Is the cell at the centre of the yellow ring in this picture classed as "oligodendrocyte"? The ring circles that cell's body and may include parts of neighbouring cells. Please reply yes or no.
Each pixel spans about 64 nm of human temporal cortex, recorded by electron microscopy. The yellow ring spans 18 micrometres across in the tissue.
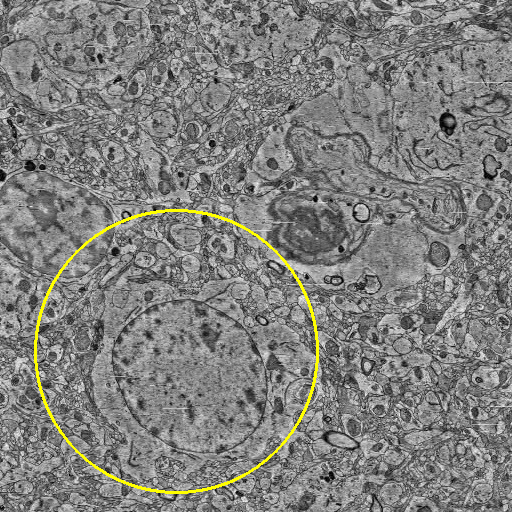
No, it is of another kind.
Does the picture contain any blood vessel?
Yes.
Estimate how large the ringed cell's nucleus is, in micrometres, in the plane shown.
Roughly 11 by 9 micrometres is the size of the nucleus in this plane.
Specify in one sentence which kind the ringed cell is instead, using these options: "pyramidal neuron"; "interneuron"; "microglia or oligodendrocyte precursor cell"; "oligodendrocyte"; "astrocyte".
The cell circled by the yellow ring is an astrocyte.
